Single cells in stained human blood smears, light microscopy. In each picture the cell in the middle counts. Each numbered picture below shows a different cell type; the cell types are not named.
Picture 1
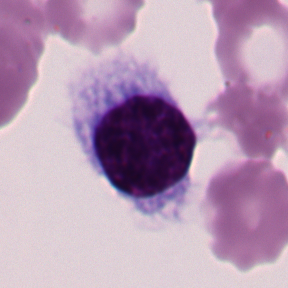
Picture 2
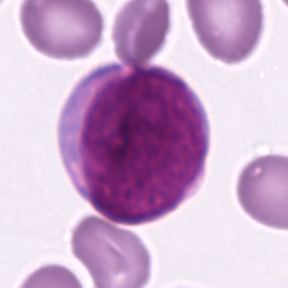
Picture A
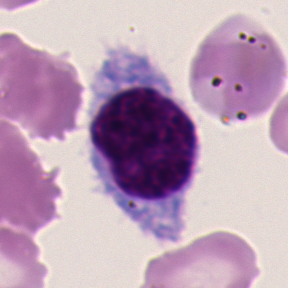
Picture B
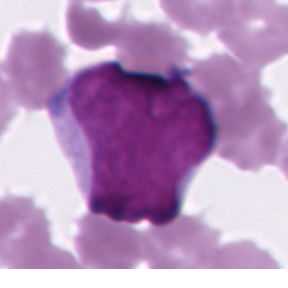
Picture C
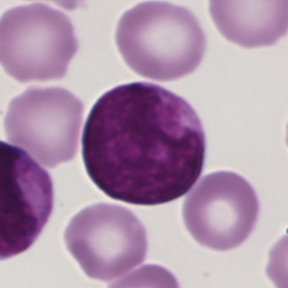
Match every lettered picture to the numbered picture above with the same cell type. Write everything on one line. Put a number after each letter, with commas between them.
A 1, B 2, C 2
